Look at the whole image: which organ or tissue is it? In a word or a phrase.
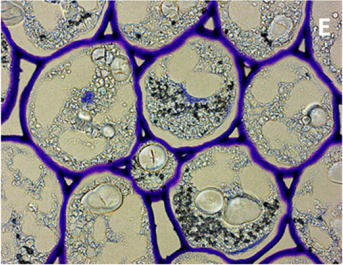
cotyledon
